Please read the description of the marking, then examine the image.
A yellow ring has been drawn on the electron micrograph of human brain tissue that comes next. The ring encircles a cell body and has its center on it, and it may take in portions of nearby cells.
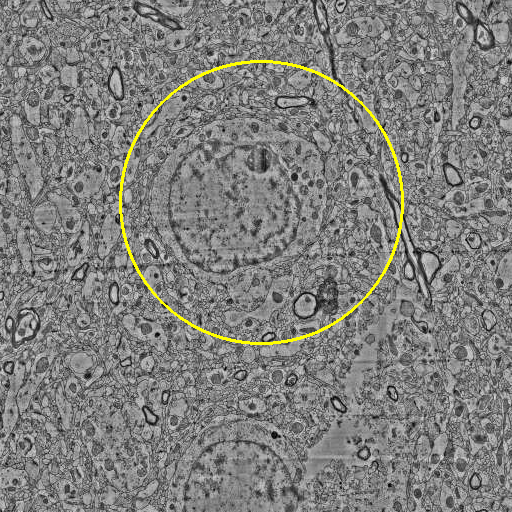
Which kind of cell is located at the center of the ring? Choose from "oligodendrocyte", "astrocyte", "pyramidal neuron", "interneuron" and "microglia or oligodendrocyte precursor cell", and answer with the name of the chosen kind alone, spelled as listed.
interneuron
